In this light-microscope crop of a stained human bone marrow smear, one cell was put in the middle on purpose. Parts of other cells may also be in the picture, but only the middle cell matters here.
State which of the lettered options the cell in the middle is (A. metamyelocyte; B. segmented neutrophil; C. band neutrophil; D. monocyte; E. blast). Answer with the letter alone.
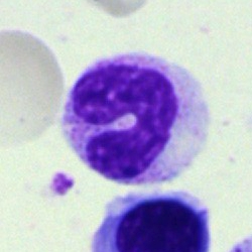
C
